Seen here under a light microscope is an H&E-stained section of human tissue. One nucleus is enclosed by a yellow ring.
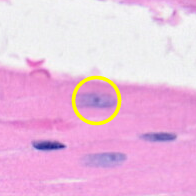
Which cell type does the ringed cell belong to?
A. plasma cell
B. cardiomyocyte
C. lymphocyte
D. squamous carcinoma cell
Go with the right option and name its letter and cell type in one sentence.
The correct response is option B: the ringed cell is a cardiomyocyte.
